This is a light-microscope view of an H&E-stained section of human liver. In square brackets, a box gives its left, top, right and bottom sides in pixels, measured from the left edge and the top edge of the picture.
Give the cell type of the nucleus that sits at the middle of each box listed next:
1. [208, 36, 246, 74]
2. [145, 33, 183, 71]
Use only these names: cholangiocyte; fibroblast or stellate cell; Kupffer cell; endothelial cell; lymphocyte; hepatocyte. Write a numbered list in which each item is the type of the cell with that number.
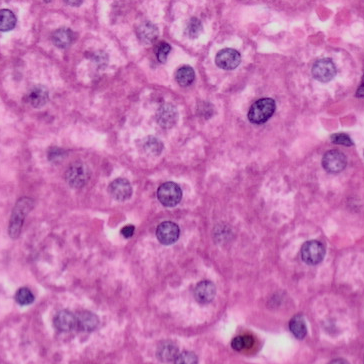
1. hepatocyte
2. Kupffer cell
